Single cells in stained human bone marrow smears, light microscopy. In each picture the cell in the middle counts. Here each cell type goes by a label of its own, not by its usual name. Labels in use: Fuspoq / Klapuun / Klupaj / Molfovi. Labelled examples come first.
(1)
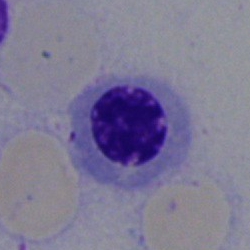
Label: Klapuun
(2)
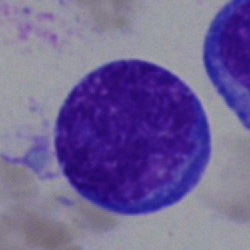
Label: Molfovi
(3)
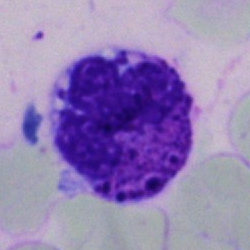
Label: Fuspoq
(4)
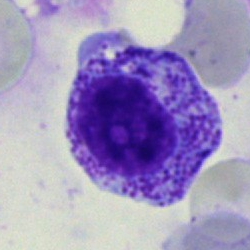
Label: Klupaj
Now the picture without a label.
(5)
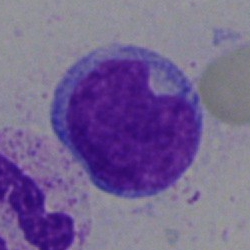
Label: Molfovi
